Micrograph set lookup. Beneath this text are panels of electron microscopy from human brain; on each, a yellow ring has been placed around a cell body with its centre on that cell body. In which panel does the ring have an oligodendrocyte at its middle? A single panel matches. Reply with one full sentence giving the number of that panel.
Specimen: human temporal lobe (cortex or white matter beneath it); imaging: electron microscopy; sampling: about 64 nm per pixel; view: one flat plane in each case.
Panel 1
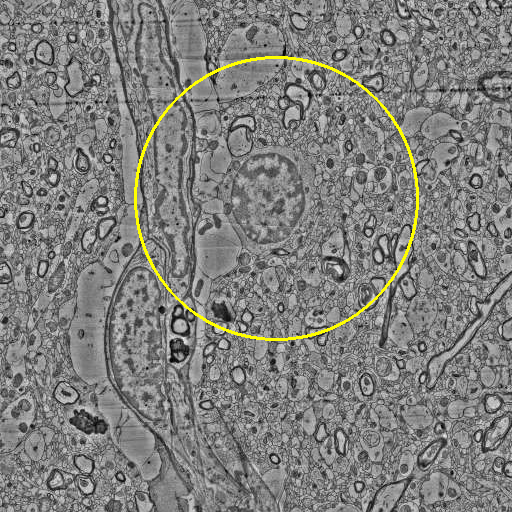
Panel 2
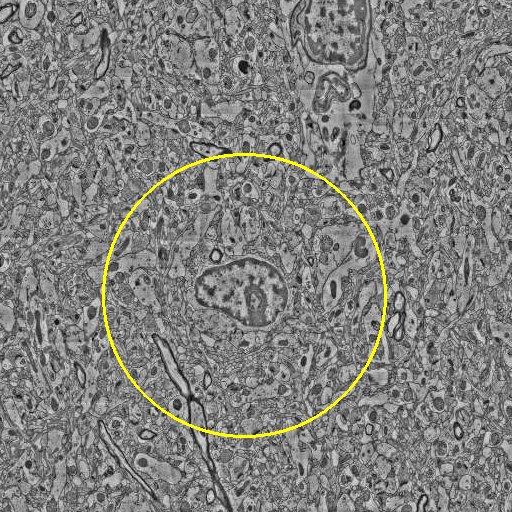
Panel 1 is the one whose ring has the sought cell at its centre.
